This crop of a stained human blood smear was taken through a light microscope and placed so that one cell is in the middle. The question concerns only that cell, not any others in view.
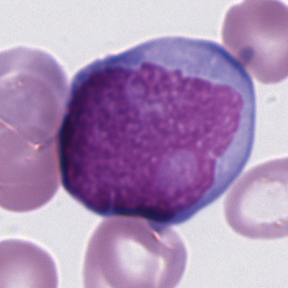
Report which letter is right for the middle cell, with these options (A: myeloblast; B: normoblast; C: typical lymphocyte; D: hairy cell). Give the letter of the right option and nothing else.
A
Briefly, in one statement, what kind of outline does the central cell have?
The outline traces a smooth curve with no projections along it.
